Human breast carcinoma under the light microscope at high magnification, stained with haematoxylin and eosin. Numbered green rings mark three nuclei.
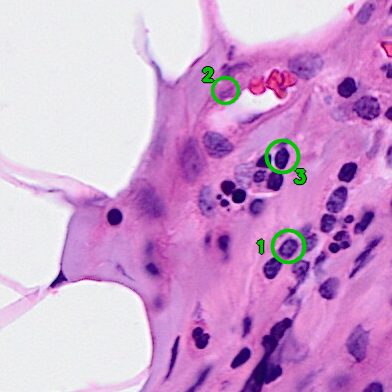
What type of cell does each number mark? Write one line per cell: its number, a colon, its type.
1: lymphocyte
2: endothelial cell
3: lymphocyte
